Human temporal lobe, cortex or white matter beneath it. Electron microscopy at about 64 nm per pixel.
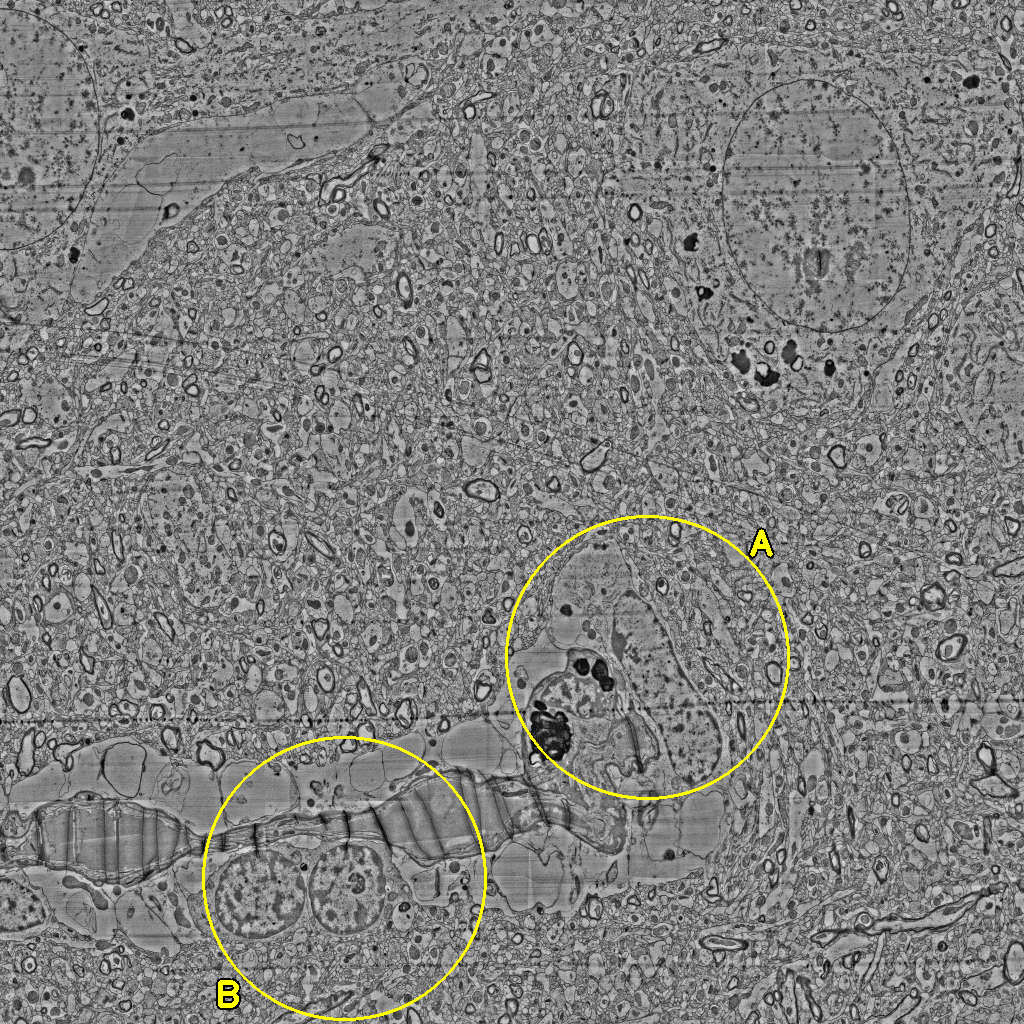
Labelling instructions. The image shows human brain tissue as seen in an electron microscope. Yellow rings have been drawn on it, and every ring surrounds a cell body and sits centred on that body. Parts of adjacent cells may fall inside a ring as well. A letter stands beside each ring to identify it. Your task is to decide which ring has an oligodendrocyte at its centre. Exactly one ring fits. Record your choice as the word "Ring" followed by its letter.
Ring B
